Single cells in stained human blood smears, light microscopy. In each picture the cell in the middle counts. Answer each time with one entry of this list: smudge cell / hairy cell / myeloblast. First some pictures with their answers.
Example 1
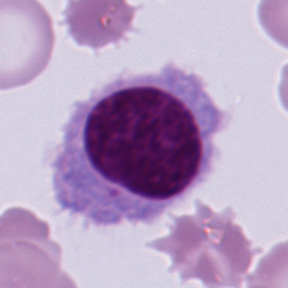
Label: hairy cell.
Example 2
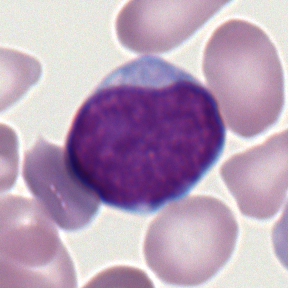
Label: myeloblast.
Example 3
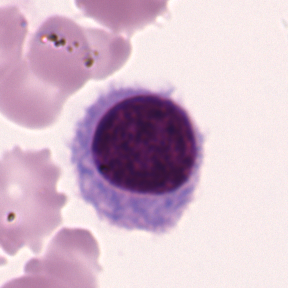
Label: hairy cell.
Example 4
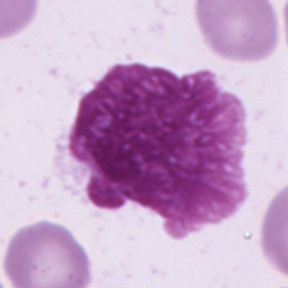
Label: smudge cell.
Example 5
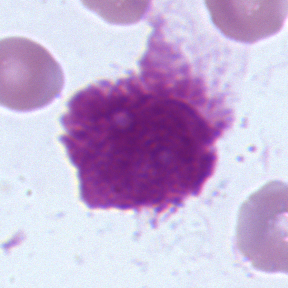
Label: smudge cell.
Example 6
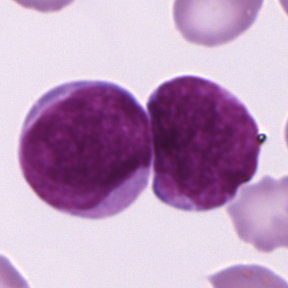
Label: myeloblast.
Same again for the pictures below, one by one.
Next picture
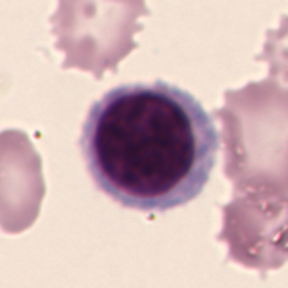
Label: hairy cell.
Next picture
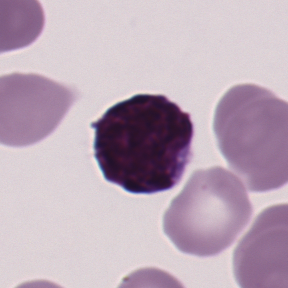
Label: myeloblast.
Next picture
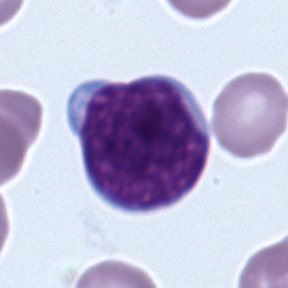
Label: myeloblast.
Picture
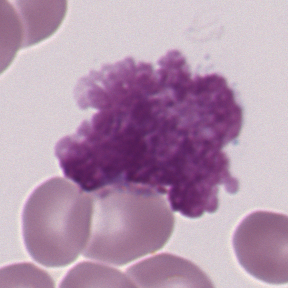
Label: smudge cell.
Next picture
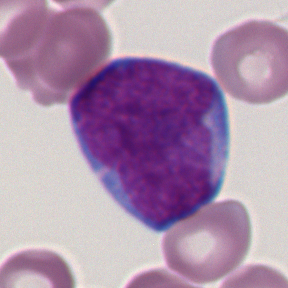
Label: myeloblast.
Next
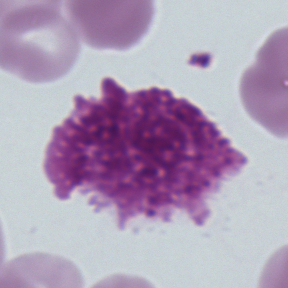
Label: smudge cell.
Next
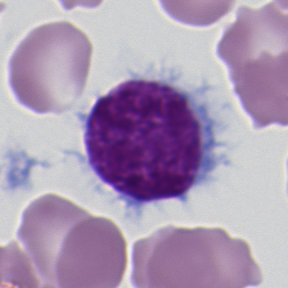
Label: hairy cell.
